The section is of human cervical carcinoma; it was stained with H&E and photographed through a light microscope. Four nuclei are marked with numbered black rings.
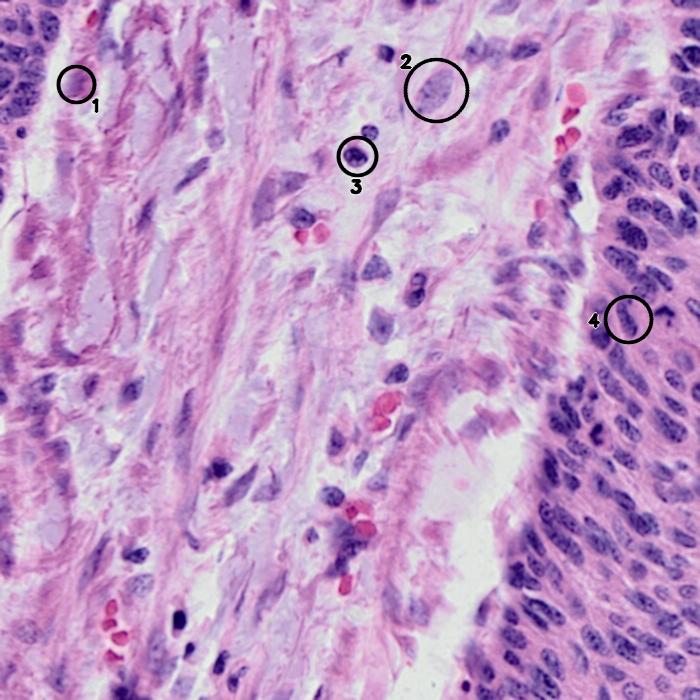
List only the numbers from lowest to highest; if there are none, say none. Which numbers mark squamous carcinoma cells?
4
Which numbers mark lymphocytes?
3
